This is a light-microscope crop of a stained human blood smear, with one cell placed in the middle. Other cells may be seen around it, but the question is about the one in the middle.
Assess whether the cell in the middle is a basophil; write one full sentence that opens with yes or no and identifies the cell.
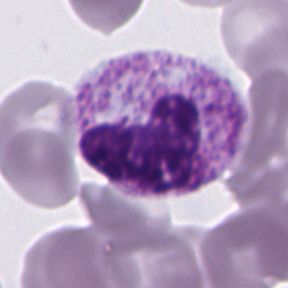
No, the centre cell counts as a segmented neutrophil, not as a basophil.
